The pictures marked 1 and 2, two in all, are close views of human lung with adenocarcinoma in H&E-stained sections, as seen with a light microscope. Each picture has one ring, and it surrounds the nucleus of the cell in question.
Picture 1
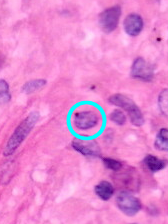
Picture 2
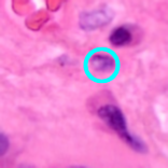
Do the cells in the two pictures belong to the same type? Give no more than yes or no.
yes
